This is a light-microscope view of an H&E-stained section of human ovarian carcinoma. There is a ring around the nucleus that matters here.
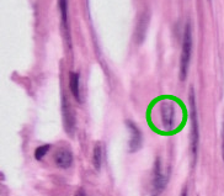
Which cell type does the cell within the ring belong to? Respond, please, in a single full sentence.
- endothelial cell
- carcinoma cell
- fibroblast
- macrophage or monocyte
Typologically, the cell within the ring is a fibroblast in this section.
